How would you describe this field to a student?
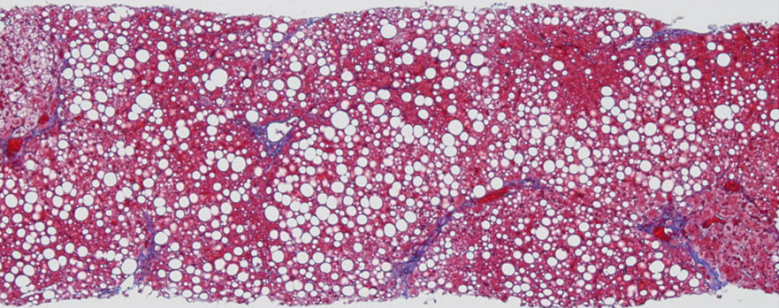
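This is a narrow needle biopsy core of liver, with hepatocytes stained bright red. Clear, round vacuoles of varying size are densely packed through much of the parenchyma, giving large areas a bubbly, lace-like appearance. Thin strands of blue-staining connective tissue run across the core in several places. These strands divide the parenchyma into irregular zones. Small blue-rimmed structures containing red-staining vessels lie along these strands.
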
